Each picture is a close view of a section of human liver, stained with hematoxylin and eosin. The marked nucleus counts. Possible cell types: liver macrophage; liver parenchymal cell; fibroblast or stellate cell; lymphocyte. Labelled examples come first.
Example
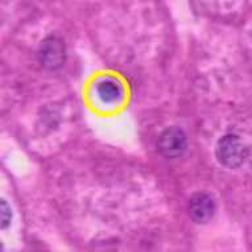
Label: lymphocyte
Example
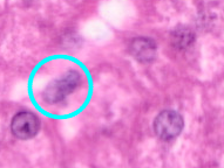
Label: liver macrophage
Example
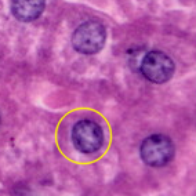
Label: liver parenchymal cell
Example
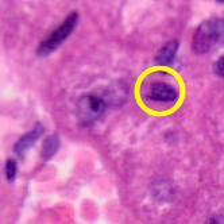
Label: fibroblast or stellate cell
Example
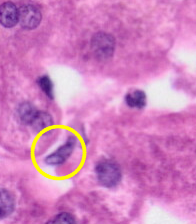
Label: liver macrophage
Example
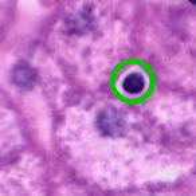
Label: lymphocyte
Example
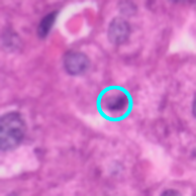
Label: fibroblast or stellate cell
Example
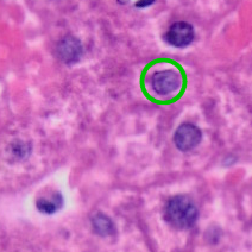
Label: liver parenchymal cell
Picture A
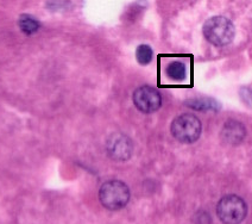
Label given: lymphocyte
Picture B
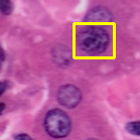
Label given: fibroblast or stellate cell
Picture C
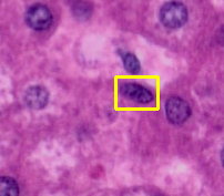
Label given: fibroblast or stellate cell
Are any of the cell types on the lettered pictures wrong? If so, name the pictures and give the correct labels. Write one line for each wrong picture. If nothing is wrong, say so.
B: liver parenchymal cell, not fibroblast or stellate cell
